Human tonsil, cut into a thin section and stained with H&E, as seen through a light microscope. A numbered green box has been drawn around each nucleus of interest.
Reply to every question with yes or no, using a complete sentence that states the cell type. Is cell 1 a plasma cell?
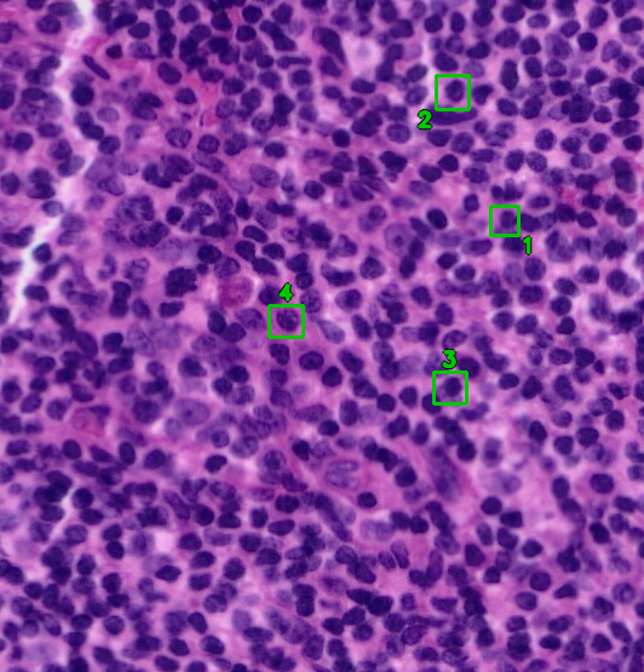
No, number 1 marks a small lymphocyte rather than a plasma cell.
